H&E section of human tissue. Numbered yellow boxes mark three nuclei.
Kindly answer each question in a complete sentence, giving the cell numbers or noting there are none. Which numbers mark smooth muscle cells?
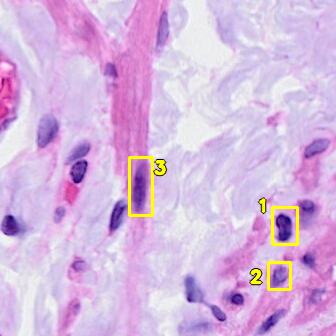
In this section, the cells labelled 2 and 3 are smooth muscle cells.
